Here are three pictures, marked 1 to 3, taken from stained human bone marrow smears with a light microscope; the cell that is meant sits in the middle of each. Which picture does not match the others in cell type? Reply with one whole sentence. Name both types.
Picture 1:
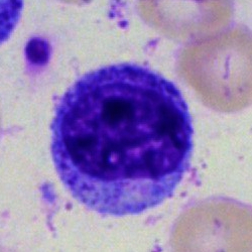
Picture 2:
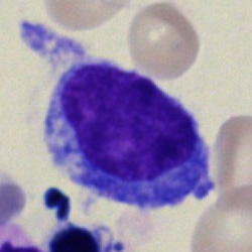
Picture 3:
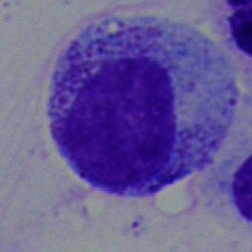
Picture 2 is the odd one out: it shows a blast, while the others show myelocytes.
